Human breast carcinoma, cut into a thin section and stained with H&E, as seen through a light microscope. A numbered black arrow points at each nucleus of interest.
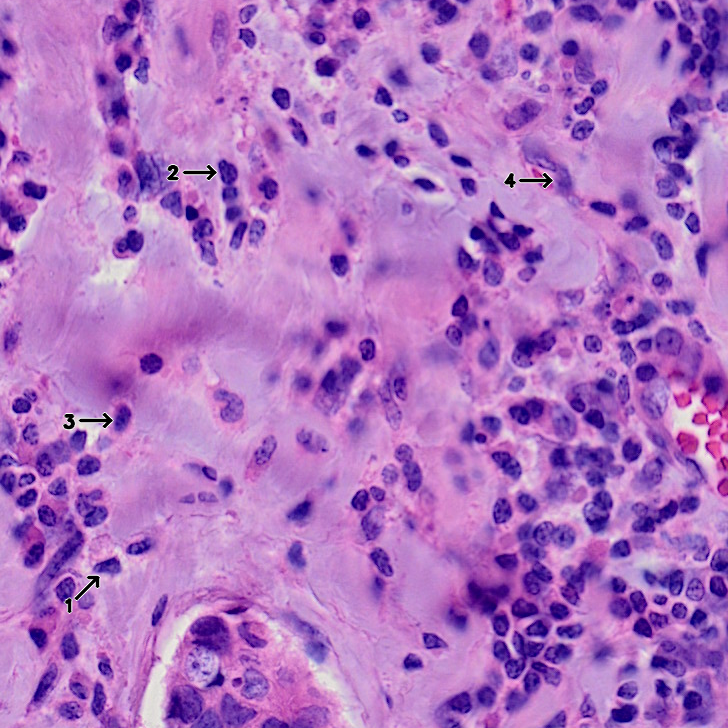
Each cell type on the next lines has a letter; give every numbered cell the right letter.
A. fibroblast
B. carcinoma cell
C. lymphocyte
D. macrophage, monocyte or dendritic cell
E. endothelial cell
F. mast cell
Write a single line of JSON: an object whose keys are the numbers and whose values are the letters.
{"1": "C", "2": "C", "3": "F", "4": "E"}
